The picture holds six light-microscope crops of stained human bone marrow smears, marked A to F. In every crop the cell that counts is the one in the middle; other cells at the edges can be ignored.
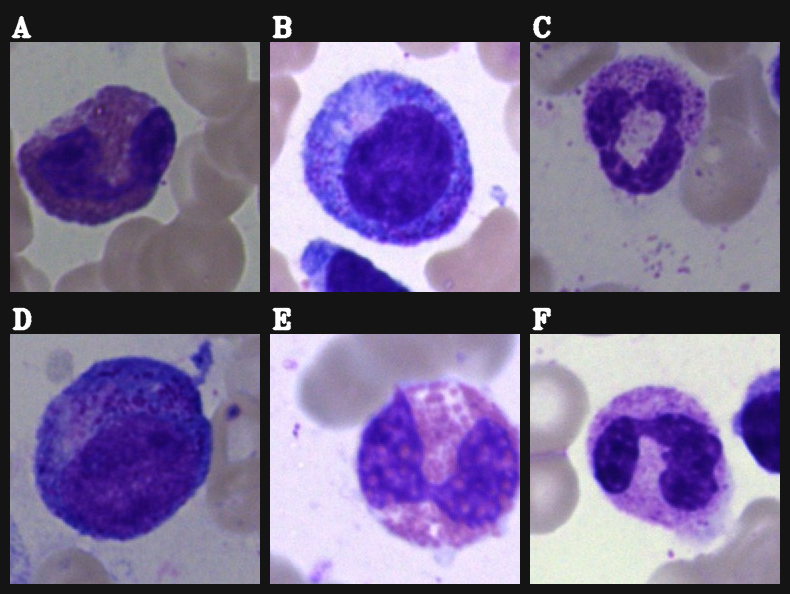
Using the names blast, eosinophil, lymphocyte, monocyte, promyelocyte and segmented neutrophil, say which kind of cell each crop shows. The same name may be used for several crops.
A: eosinophil
B: promyelocyte
C: segmented neutrophil
D: promyelocyte
E: eosinophil
F: segmented neutrophil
